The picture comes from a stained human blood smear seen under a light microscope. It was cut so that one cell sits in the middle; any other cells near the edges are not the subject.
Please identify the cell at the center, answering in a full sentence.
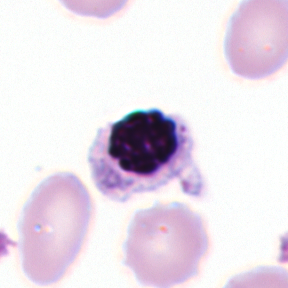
The centered cell in this crop is an erythroblast.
